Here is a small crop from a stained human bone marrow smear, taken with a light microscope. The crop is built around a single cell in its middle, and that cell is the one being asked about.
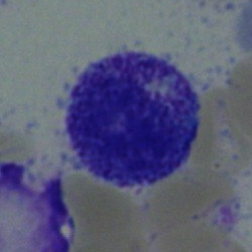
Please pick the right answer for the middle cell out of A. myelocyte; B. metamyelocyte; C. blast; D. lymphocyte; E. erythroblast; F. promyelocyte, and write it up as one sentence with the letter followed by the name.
Here the central cell is a myelocyte, and option A is correct.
